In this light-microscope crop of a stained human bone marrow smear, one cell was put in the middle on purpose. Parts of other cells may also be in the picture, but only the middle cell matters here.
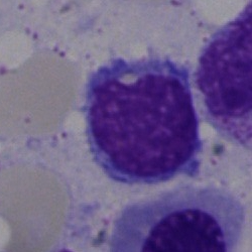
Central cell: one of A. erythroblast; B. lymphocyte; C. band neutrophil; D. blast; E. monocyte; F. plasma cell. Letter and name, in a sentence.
Answer key: option B, the middle cell being a lymphocyte.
